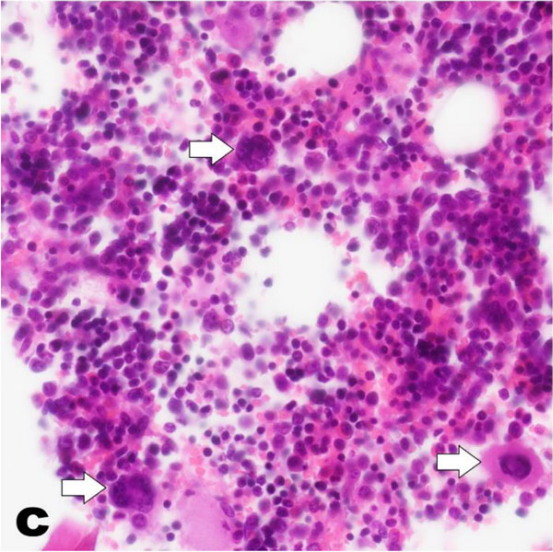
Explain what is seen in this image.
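Hypercellular bone marrow with densely packed haematopoietic cells and scattered megakaryocytes. Most cells are small and round with dark purple nuclei, in varied sizes and degrees of condensation, mixed with pink red cells. Several very large cells with lobulated dark nuclei are dispersed through the field, one with a wide rim of pink cytoplasm. A few round clear fat spaces interrupt the cell mass, but cells clearly predominate over fat.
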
